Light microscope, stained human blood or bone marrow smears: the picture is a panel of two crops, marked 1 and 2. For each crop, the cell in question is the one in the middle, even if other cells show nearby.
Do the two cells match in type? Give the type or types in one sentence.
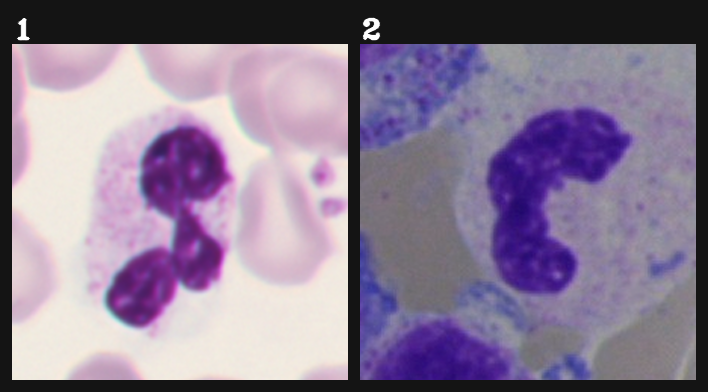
Yes, both crops in this set show segmented neutrophils.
